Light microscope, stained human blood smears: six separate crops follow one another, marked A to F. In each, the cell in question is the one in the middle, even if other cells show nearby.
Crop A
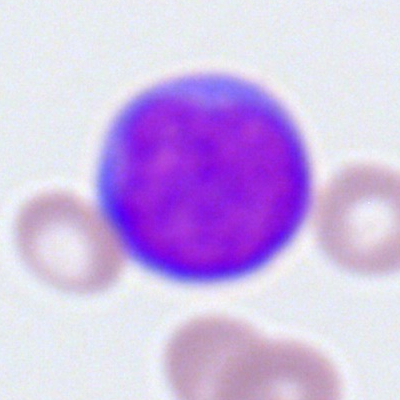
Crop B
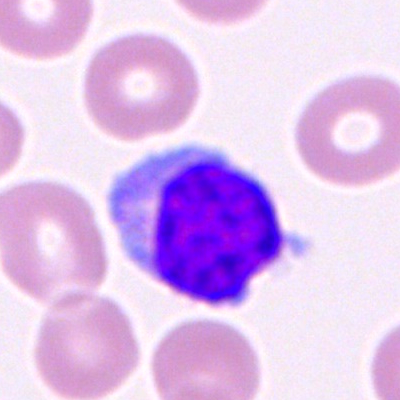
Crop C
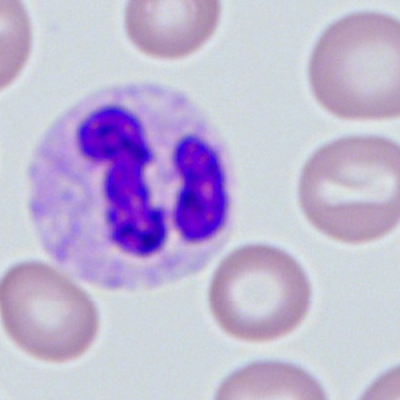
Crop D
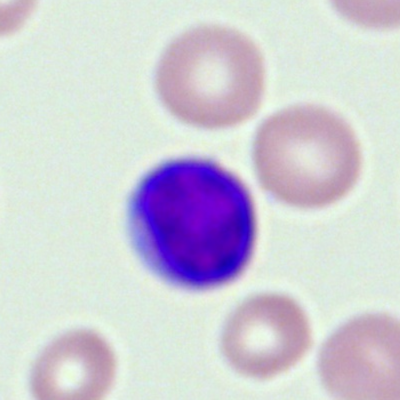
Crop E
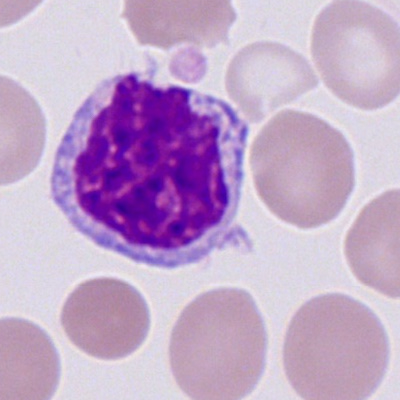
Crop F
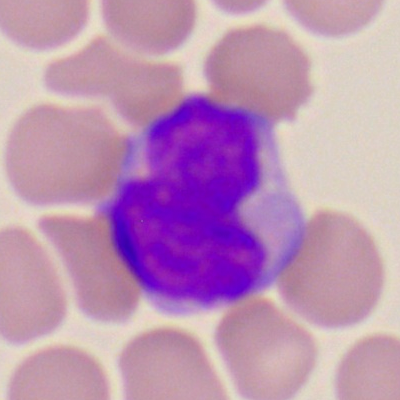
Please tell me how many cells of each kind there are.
lymphocyte: 3
blast: 2
neutrophil: 1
